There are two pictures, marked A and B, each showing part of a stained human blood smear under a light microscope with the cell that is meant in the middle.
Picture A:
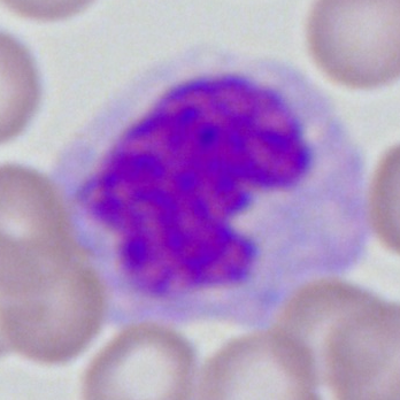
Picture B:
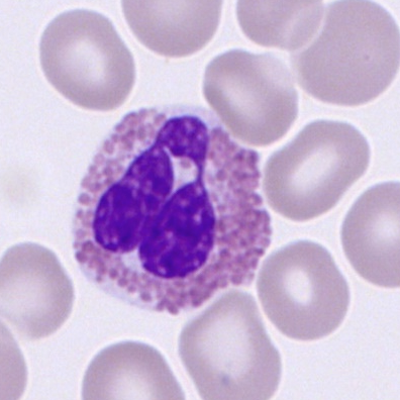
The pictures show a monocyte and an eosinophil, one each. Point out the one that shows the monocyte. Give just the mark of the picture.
A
